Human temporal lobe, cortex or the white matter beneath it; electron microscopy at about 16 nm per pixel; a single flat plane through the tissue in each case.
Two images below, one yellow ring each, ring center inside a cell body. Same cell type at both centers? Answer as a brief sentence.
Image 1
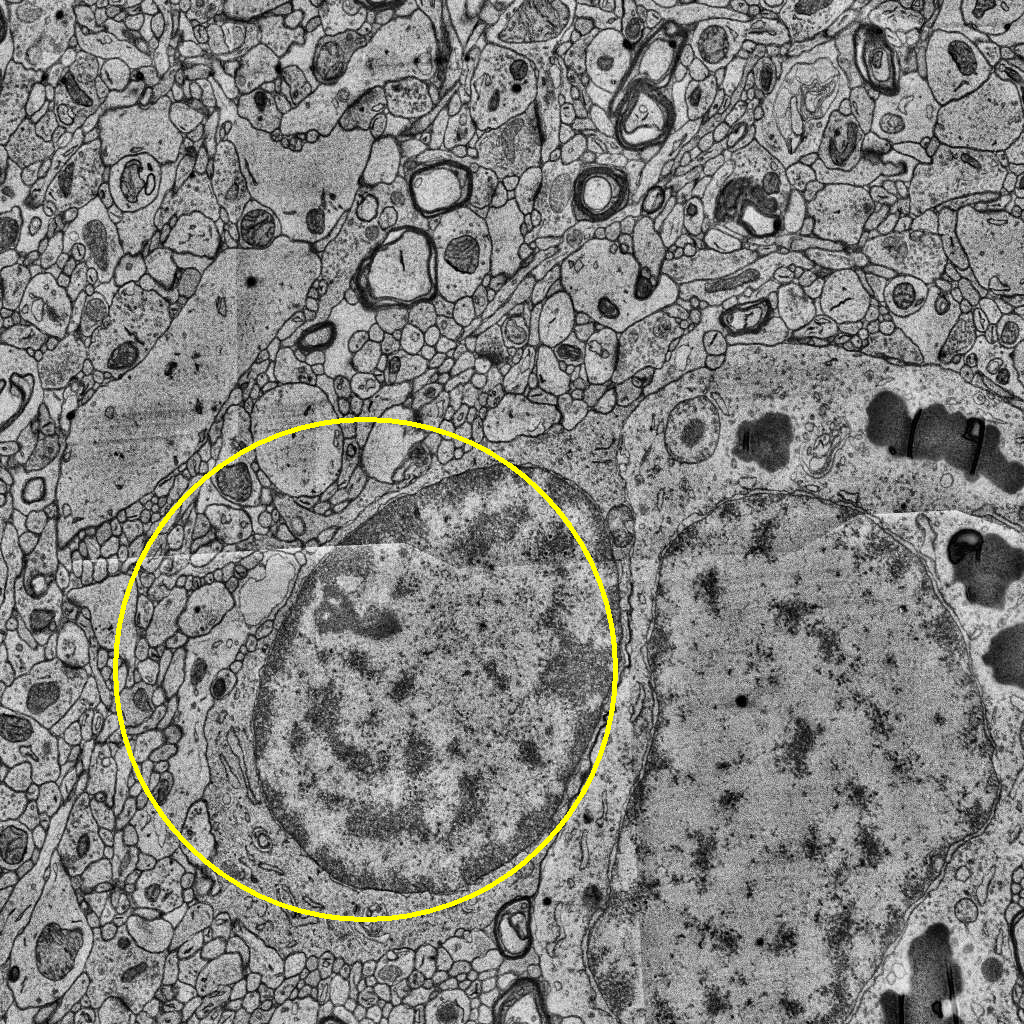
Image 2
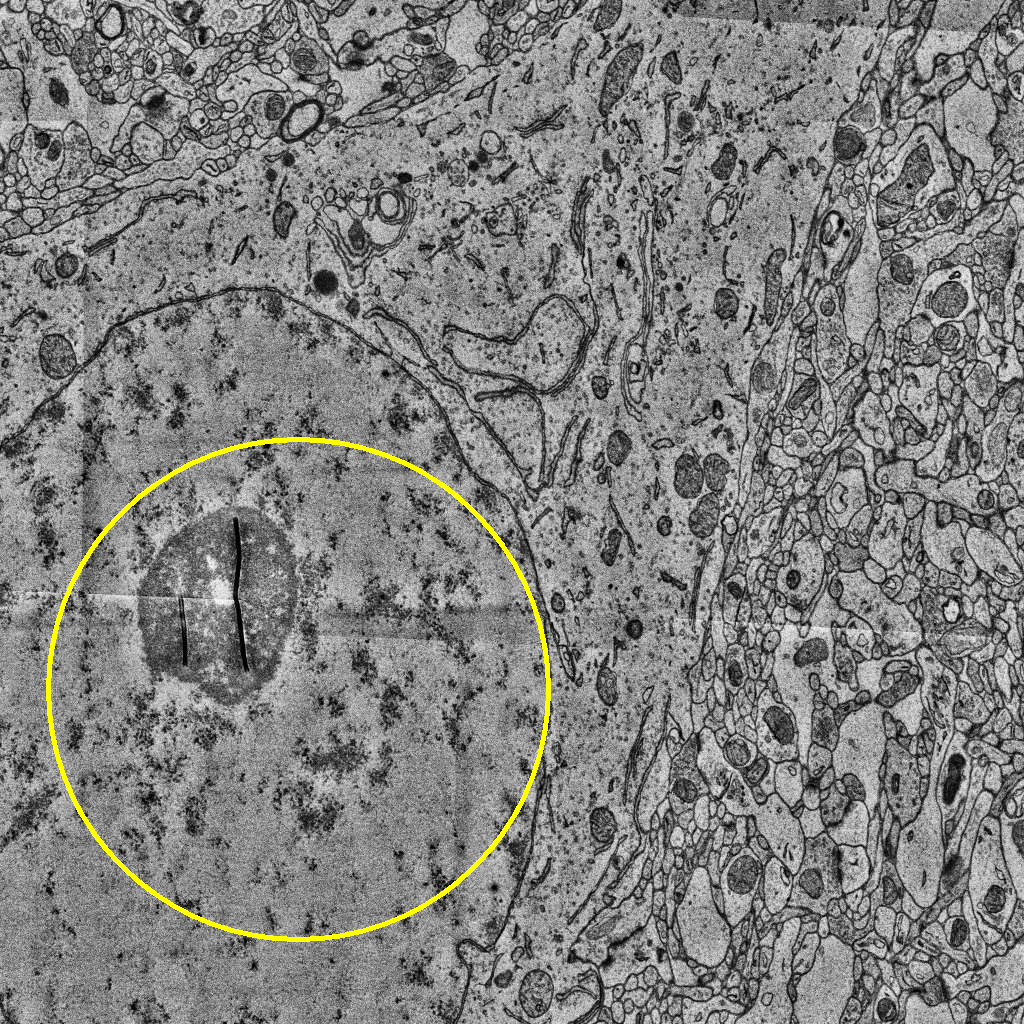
No, the cells are of two separate types.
